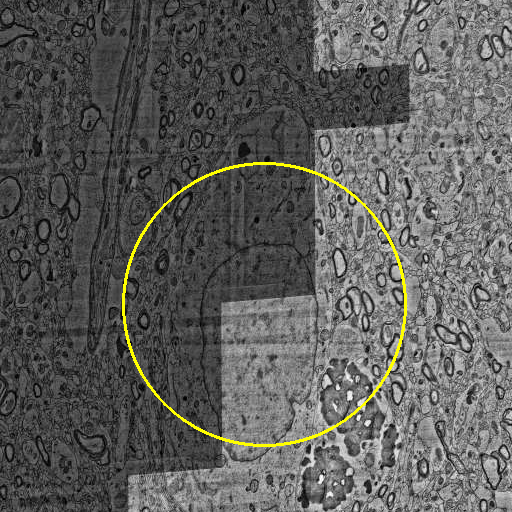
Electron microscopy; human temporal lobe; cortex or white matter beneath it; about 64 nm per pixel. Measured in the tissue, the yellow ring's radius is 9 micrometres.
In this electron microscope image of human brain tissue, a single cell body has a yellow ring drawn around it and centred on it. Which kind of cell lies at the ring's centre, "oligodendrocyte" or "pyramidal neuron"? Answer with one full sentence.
It is a pyramidal neuron whose cell body lies at the centre of the yellow ring here.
